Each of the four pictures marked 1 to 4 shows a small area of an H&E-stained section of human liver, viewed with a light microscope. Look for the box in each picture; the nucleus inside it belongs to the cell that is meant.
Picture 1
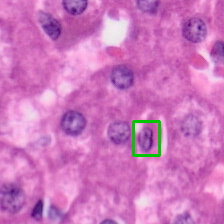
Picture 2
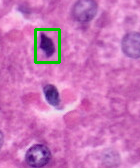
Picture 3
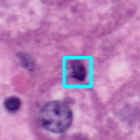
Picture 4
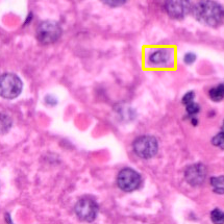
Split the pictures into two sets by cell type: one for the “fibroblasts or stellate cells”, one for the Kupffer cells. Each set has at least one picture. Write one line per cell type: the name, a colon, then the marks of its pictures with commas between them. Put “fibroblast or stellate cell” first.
fibroblast or stellate cell: 2, 3
Kupffer cell: 1, 4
